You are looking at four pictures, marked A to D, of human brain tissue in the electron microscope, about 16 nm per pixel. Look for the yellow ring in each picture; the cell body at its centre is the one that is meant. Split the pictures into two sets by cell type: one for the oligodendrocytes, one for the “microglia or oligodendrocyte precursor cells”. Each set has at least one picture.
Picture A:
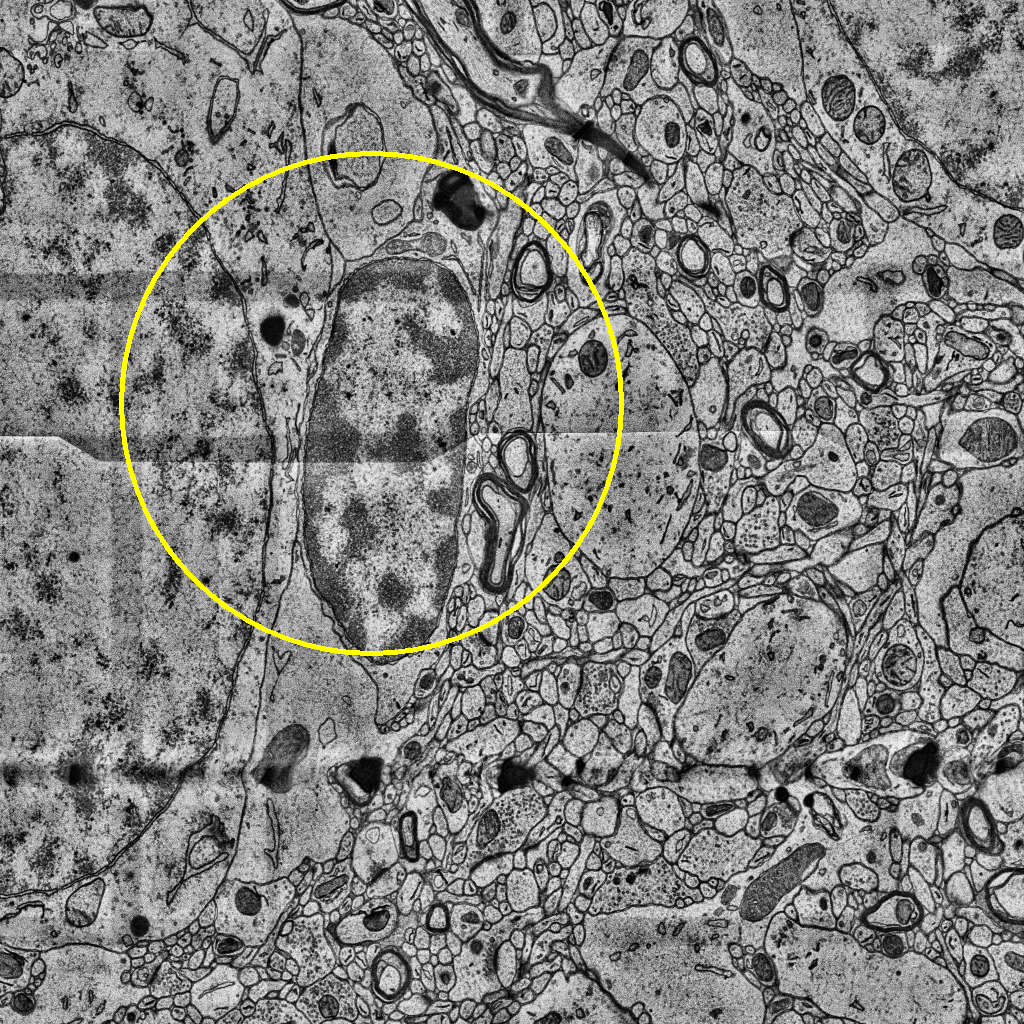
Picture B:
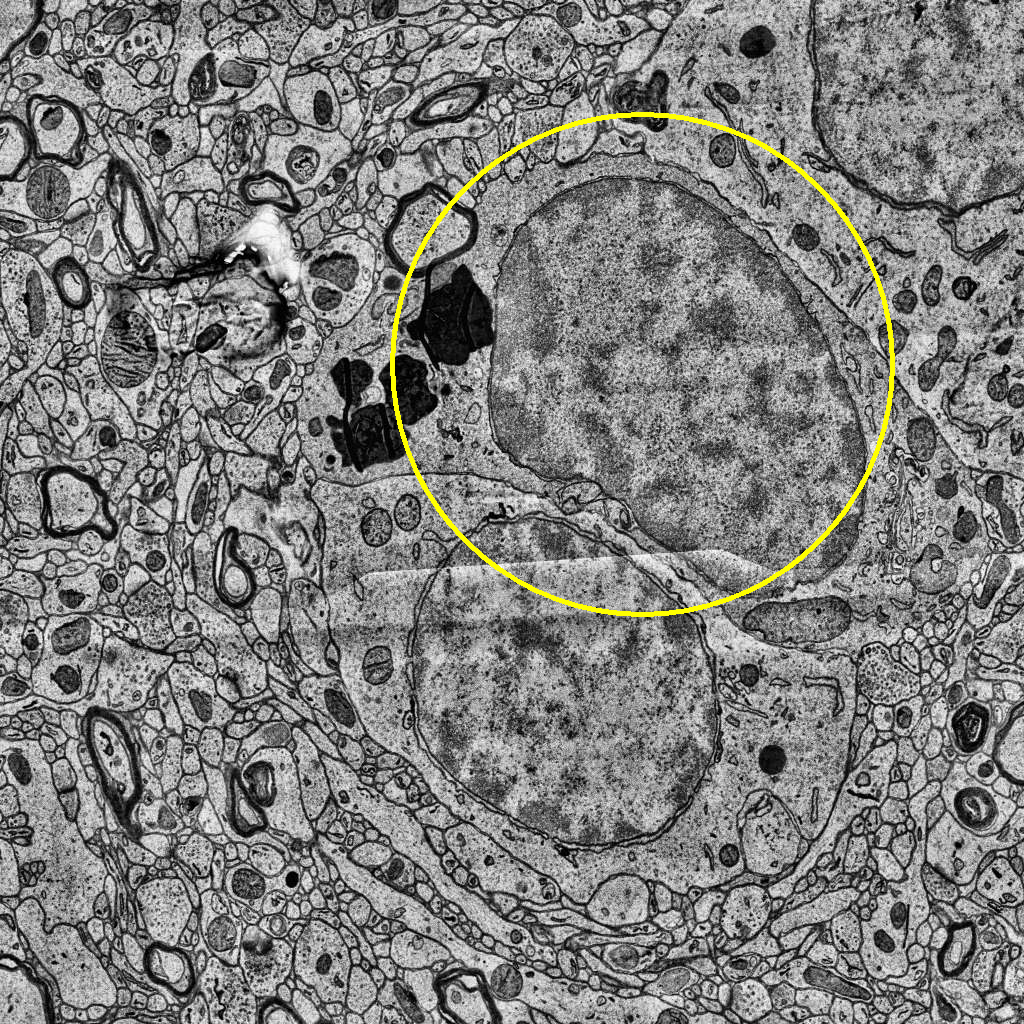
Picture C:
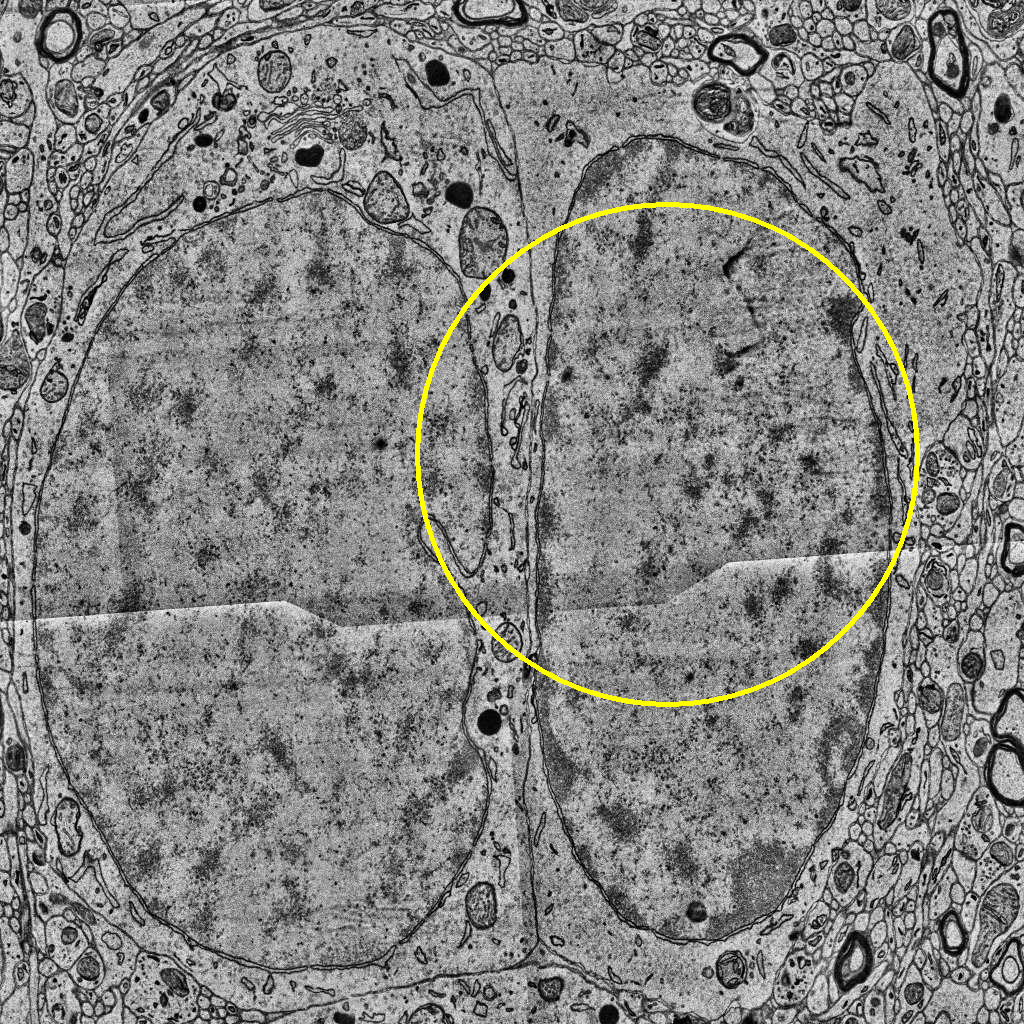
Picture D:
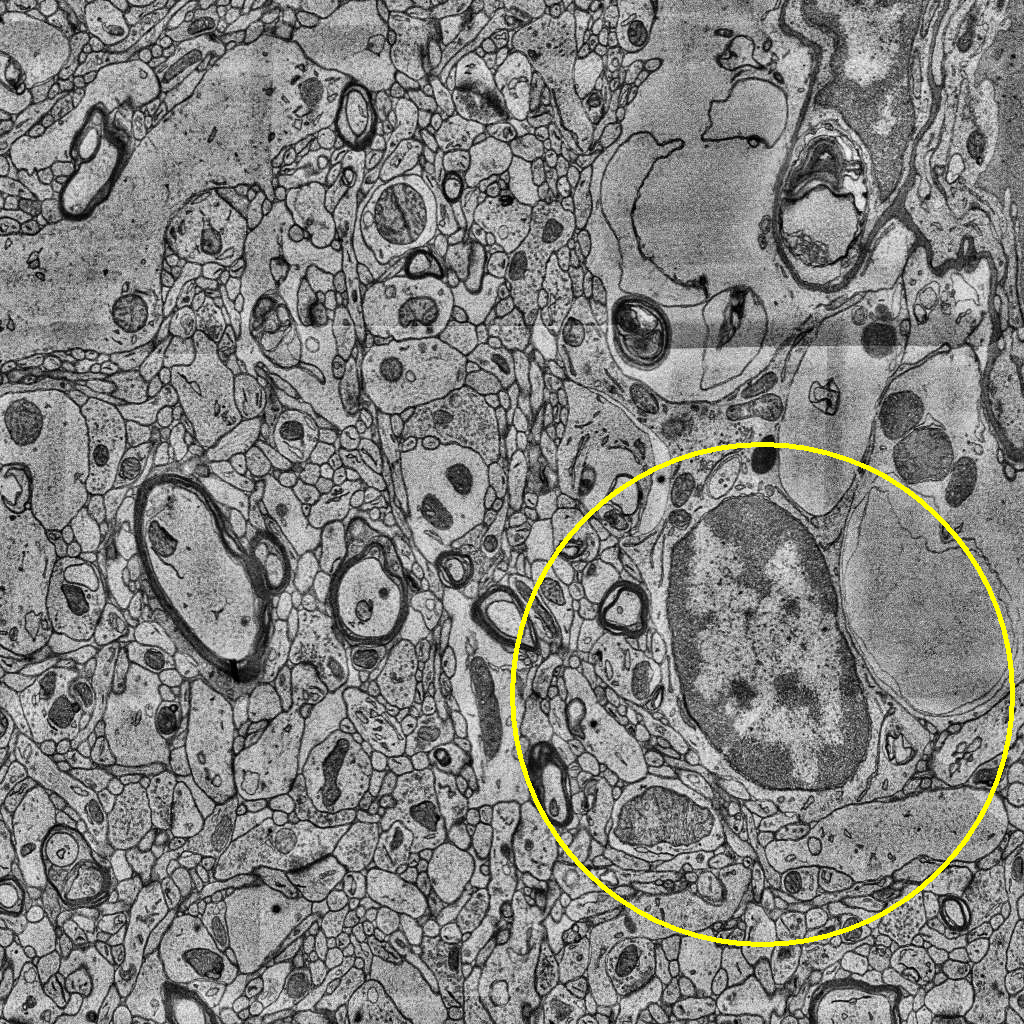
Picture B shows an oligodendrocyte, and pictures A, C and D show “microglia or oligodendrocyte precursor cells”.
